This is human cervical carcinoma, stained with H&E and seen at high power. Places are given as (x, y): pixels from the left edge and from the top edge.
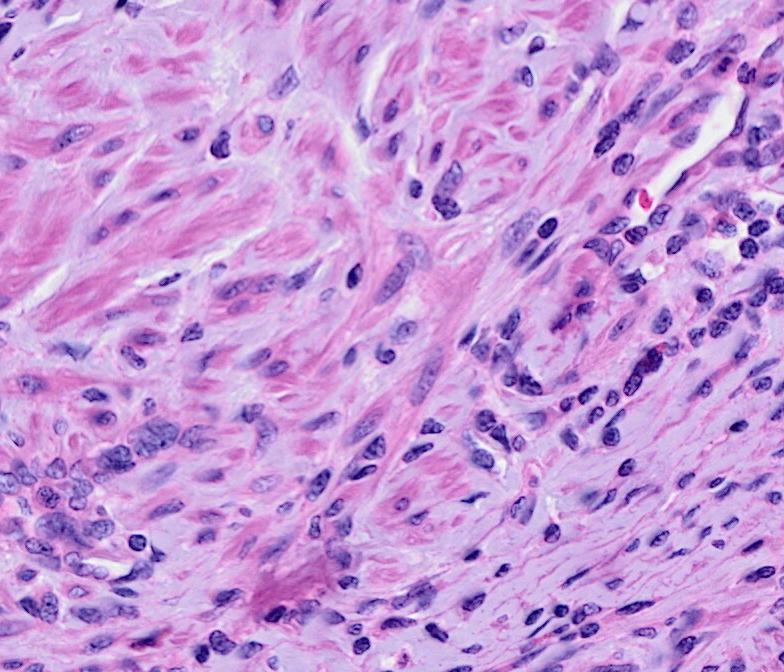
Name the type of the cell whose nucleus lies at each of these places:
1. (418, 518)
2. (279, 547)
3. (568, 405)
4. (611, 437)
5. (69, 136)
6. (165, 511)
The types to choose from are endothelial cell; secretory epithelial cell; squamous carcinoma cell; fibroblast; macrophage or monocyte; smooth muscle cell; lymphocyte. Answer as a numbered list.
1. smooth muscle cell
2. smooth muscle cell
3. lymphocyte
4. lymphocyte
5. smooth muscle cell
6. smooth muscle cell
